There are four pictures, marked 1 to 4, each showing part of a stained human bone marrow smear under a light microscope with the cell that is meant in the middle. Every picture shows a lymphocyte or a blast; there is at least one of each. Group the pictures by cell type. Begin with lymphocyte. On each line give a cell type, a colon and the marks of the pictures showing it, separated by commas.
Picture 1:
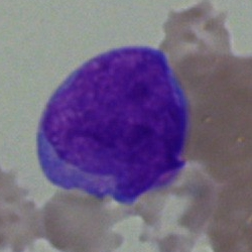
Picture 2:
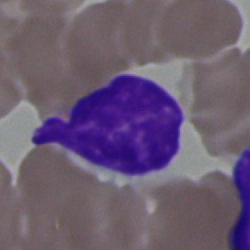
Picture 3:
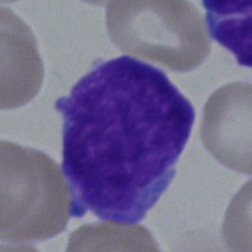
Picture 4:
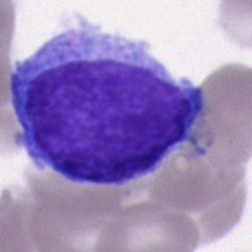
lymphocyte: 2
blast: 1, 3, 4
